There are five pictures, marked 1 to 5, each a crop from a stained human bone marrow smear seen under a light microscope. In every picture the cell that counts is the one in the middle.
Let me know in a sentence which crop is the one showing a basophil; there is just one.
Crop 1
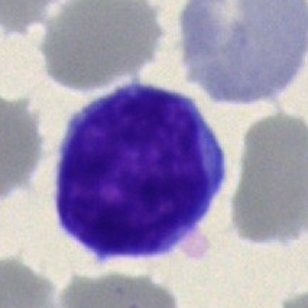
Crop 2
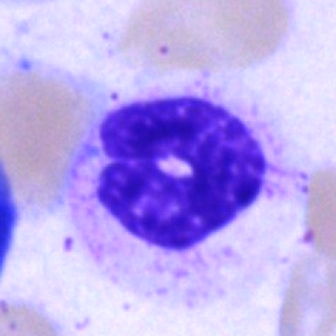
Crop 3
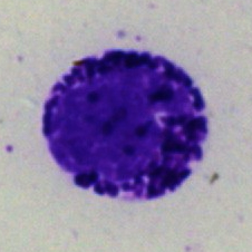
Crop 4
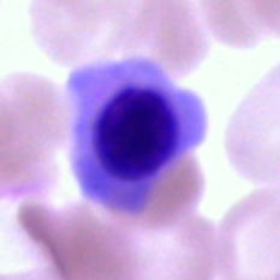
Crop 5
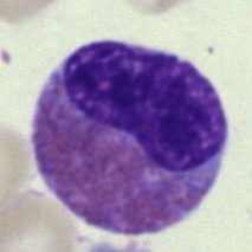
Crop 3 is identified as the crop showing a basophil.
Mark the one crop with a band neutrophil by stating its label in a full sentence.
It is crop 2 that shows a band neutrophil.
